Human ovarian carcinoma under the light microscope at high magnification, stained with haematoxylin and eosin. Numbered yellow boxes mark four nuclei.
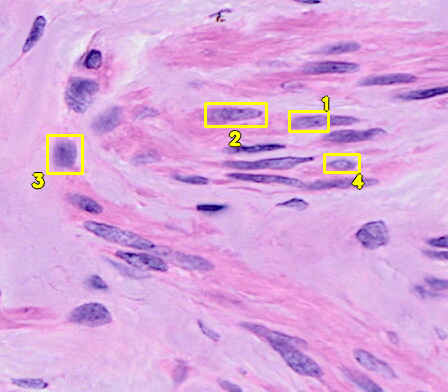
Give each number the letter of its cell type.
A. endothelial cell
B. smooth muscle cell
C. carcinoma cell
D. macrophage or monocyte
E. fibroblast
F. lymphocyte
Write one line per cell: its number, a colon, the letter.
1: B
2: B
3: E
4: B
